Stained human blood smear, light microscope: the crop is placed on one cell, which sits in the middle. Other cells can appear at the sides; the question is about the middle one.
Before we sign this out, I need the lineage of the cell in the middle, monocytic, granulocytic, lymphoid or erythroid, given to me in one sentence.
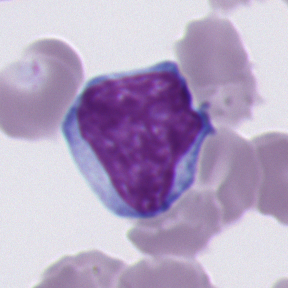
Our central cell here is part of the lymphoid lineage.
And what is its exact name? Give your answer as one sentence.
In this smear crop, the middle cell is a typical lymphocyte.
